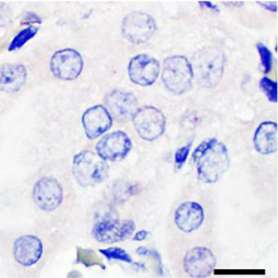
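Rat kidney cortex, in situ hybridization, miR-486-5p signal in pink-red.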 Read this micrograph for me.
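Renal cortical tubules are cut in section, their epithelial cells carrying large, round, pale blue nuclei with fine chromatin and abundant pale cytoplasm. Between the tubules lie a few slender, dark blue, elongated nuclei of interstitial and endothelial cells. Pink-red dots are few and faint.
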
